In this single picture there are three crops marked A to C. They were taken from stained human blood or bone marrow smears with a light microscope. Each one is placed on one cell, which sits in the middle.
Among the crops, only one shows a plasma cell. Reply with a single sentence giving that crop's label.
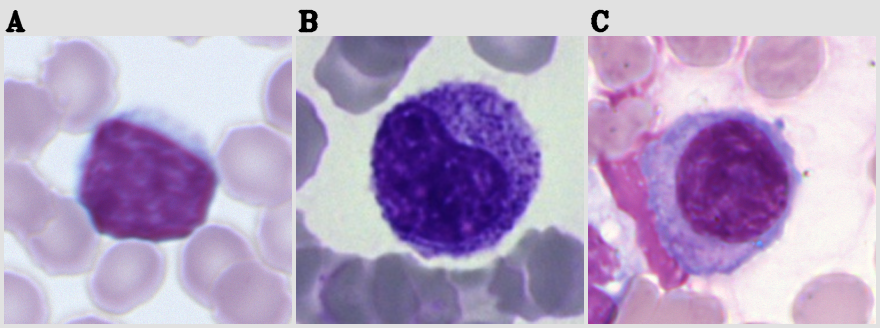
Among the crops, only crop C contains a plasma cell.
